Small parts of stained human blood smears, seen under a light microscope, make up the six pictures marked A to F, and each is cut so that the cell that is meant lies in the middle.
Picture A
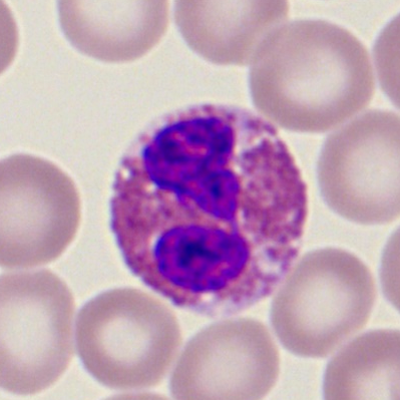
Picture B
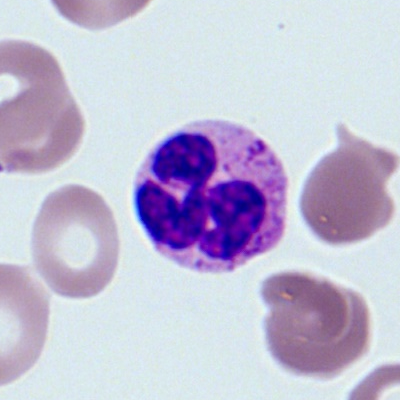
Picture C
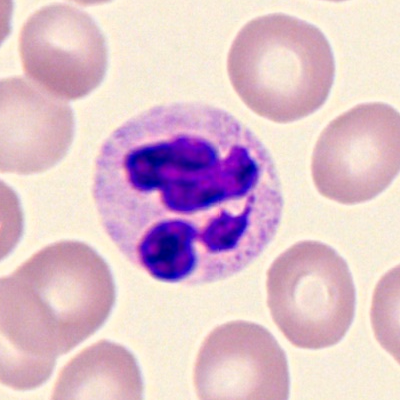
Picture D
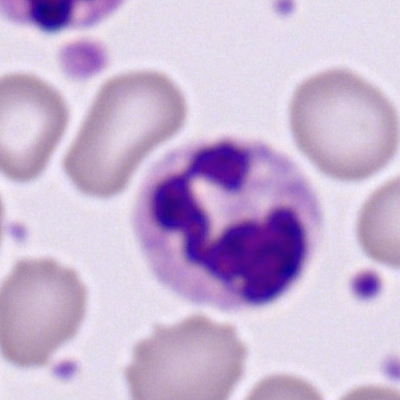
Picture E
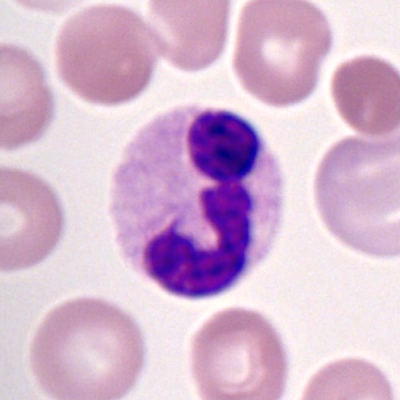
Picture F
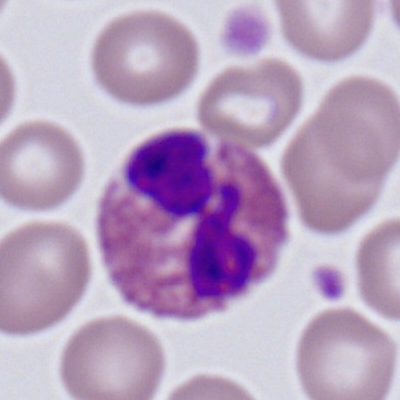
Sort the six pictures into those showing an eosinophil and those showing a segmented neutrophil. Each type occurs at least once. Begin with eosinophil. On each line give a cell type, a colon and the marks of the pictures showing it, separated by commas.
eosinophil: A, F
segmented neutrophil: B, C, D, E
